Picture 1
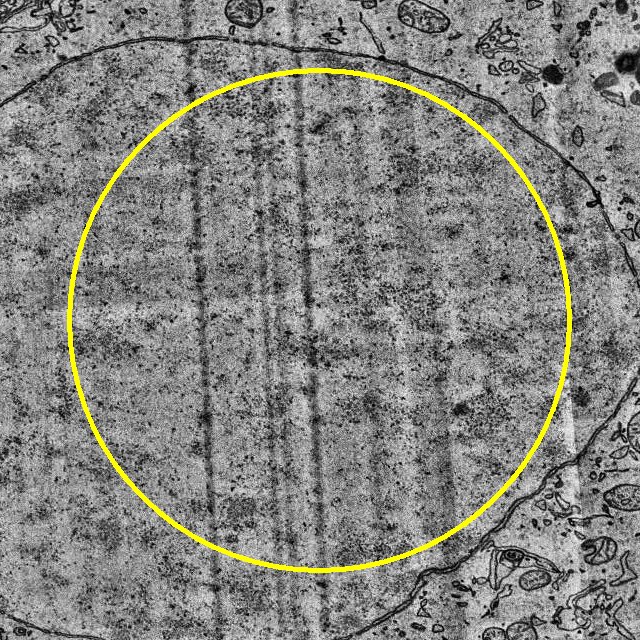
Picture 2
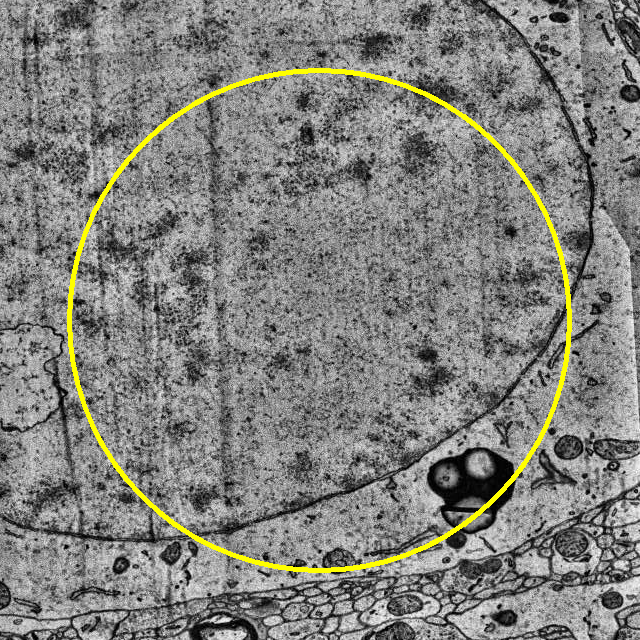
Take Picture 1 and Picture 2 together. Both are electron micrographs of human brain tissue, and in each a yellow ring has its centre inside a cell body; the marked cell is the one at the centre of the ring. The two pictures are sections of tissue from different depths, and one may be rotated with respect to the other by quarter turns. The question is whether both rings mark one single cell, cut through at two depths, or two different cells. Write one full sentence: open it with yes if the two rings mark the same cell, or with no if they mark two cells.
No, the cells inside the two rings are not the same cell.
